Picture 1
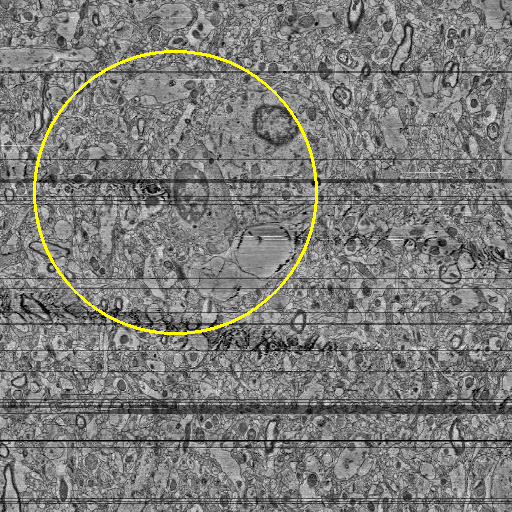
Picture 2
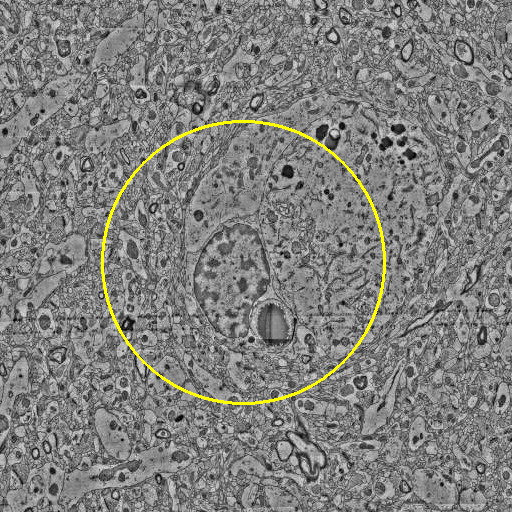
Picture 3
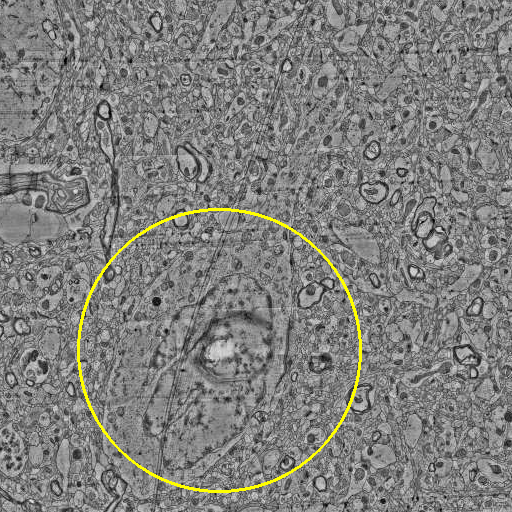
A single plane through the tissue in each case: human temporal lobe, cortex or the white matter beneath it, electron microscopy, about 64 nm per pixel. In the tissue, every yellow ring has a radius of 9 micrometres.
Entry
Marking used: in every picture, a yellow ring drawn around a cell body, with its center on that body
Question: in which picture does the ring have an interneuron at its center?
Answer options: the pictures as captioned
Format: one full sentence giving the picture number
Picture 3 is where the ring's center falls on the requested cell.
